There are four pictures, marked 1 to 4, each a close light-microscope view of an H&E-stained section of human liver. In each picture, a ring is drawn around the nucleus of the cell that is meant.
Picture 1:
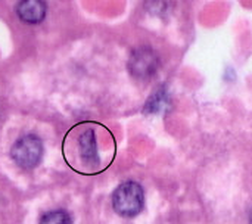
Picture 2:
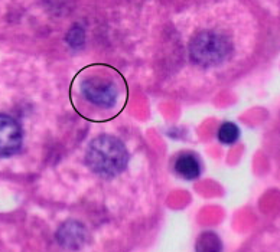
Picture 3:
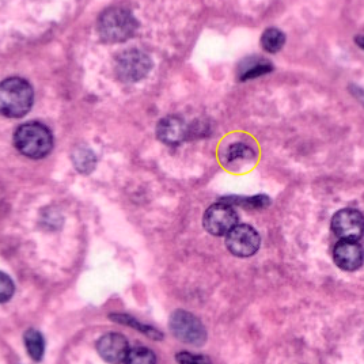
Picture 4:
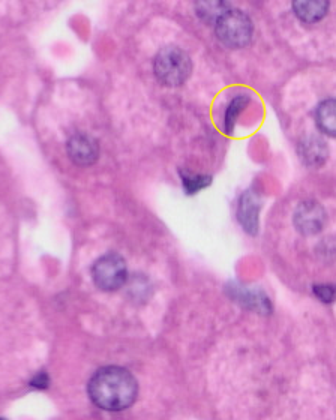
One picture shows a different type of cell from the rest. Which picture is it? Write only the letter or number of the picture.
3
